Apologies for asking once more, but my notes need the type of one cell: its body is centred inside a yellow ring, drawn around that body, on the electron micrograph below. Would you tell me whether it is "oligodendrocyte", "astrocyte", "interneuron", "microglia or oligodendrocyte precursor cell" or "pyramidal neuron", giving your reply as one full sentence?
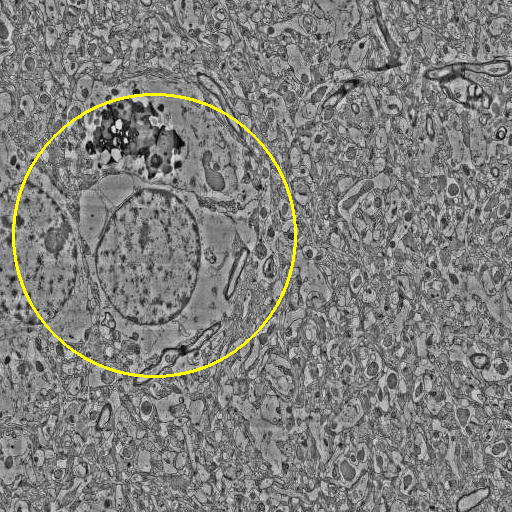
The cell that the yellow ring is centred on is an astrocyte in this micrograph.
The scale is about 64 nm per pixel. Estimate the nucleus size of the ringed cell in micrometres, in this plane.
The nucleus appears roughly 9 by 7 micrometres in this plane.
